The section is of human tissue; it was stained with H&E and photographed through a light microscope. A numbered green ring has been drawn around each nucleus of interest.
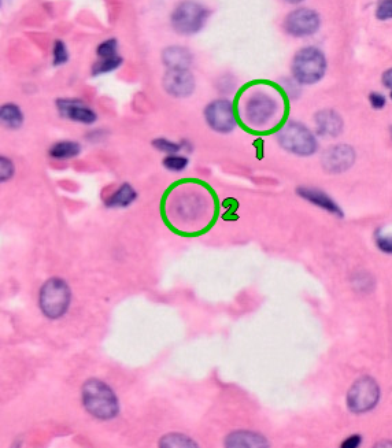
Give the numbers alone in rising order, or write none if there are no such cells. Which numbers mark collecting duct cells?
1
